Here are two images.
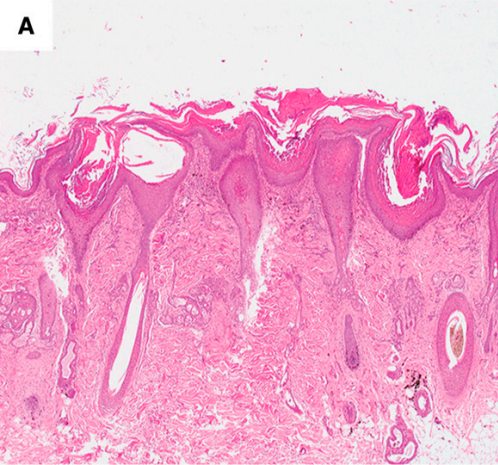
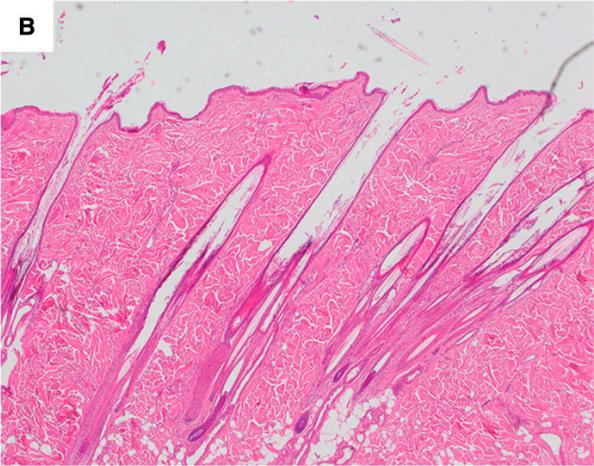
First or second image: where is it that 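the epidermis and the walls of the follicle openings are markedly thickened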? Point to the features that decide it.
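Second image: the epidermis and follicle walls are thin, only a few cell layers. First image: the epidermis is thick and the follicle openings are lined by broad epithelium forming deep downgrowths.
Hence: the first image.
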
